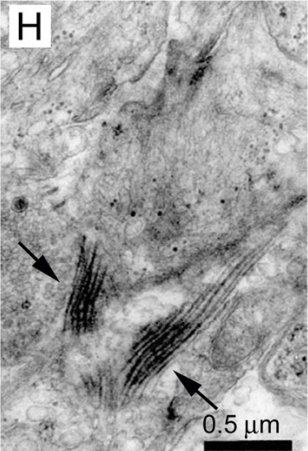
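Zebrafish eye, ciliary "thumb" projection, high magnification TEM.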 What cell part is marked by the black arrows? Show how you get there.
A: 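The arrows point to dark, parallel bundles of straight filaments in the cytoplasm. The bundles are much denser than the surrounding cytoplasm.
Answer: electron dense, thick filaments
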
